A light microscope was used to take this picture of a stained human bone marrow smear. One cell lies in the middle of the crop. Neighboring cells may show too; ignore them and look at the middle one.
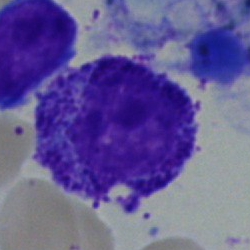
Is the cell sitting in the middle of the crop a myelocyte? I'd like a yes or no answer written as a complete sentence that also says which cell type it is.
Yes, the cell shown in the middle is a myelocyte.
